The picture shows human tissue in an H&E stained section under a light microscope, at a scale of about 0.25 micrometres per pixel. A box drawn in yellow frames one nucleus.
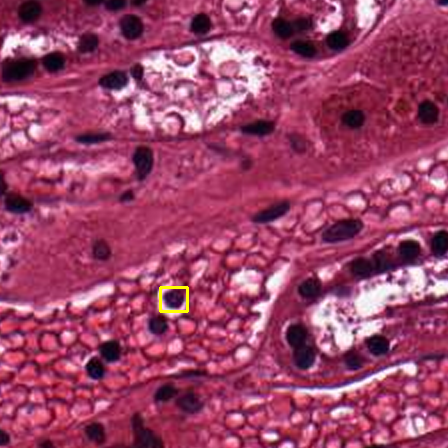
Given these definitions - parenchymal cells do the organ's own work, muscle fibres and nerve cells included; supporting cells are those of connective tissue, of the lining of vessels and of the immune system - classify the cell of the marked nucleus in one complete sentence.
Held by a supporting cell is the marked nucleus in this section.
